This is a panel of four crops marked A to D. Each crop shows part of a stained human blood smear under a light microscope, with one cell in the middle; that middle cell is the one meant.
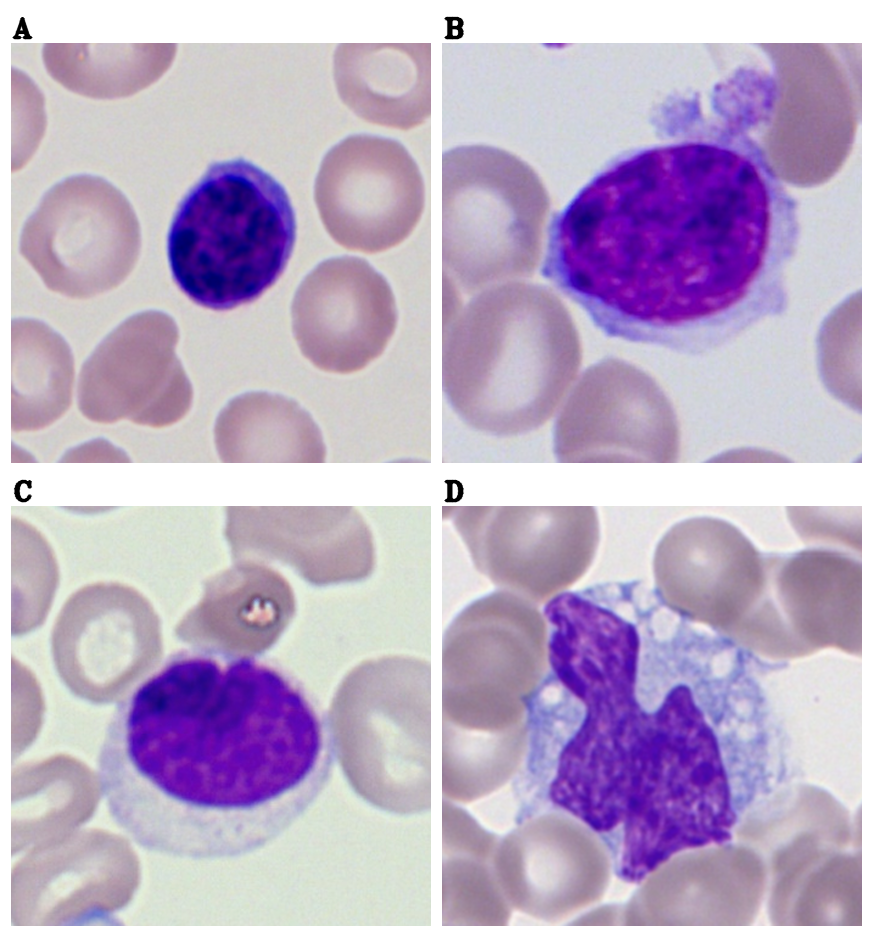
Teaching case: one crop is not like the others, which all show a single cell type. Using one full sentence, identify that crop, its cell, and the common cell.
Whereas the other crops show lymphocytes, crop D is a monocyte.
